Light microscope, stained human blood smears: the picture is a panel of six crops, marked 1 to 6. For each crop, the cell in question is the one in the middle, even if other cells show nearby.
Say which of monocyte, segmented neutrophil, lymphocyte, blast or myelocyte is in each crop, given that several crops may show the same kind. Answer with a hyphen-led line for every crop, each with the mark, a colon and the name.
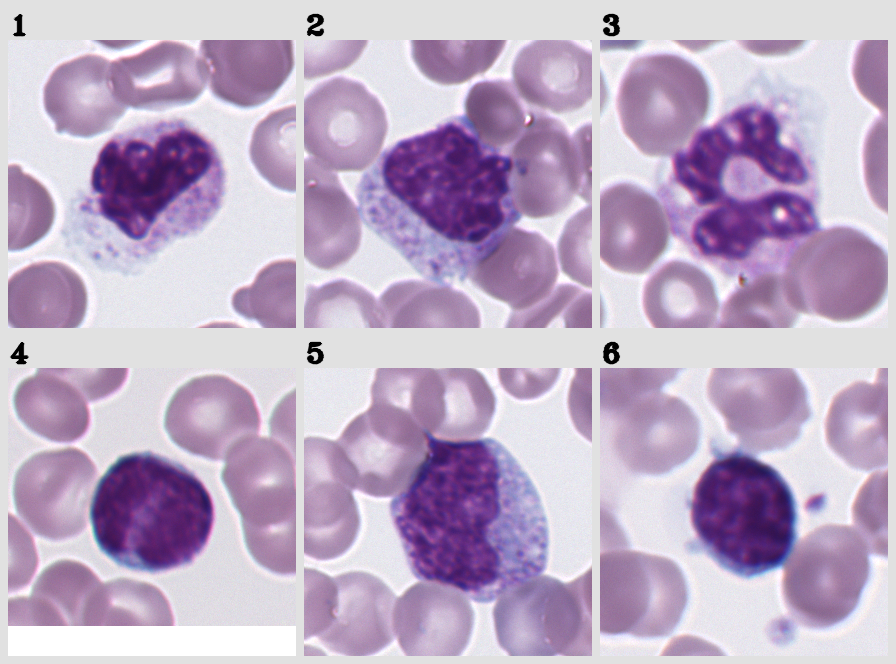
- 1: segmented neutrophil
- 2: myelocyte
- 3: segmented neutrophil
- 4: lymphocyte
- 5: myelocyte
- 6: lymphocyte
